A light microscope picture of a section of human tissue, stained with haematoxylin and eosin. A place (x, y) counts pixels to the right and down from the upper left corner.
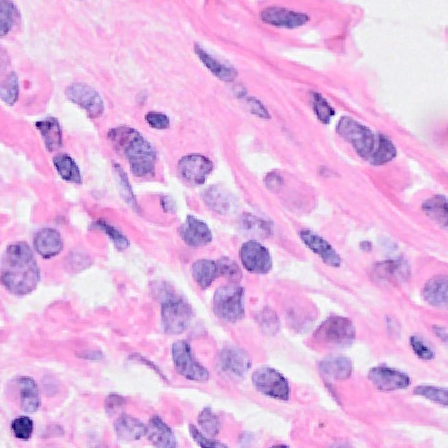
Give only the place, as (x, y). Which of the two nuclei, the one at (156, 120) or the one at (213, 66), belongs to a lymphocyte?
(156, 120)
